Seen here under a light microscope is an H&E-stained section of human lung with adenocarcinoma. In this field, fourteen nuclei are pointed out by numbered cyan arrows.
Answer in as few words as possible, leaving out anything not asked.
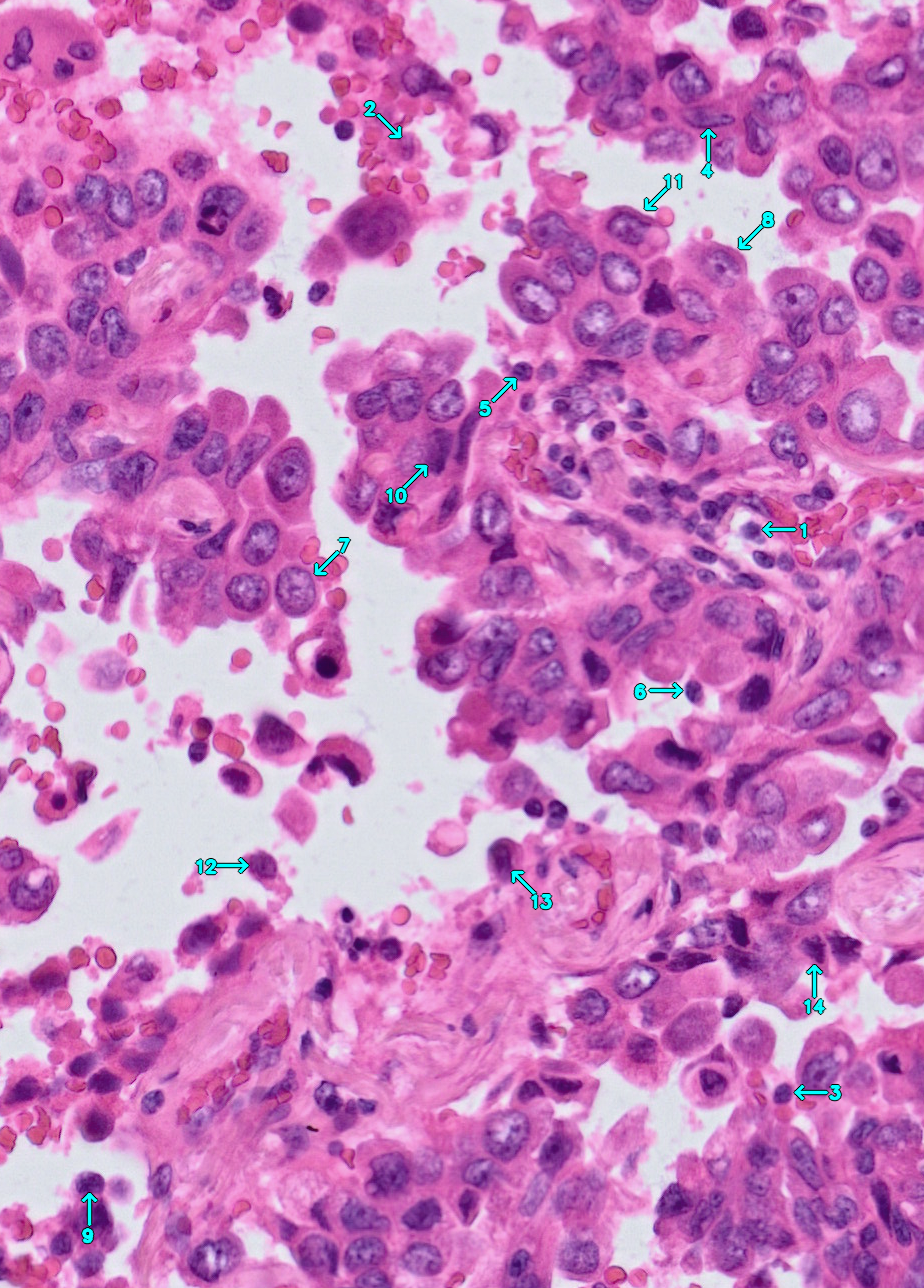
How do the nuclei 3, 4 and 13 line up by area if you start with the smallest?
3, 13, 4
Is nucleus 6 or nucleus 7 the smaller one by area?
6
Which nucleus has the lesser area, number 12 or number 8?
12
